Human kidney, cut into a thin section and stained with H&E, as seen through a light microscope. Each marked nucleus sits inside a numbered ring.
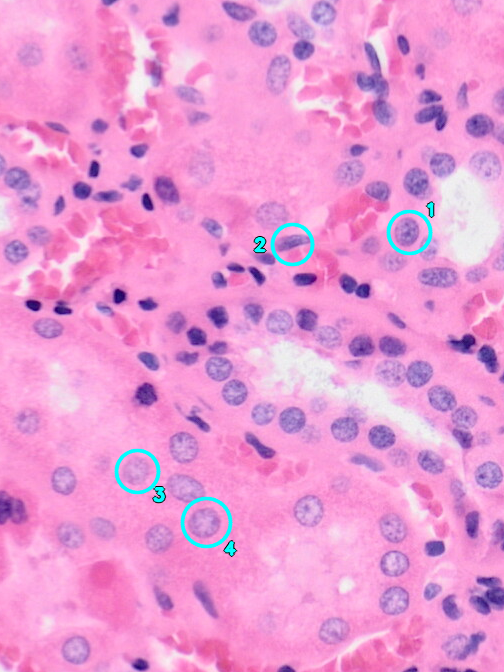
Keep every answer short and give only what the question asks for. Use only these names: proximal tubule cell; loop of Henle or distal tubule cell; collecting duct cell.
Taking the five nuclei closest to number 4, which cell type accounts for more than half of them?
proximal tubule cell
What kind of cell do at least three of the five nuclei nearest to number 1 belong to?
collecting duct cell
